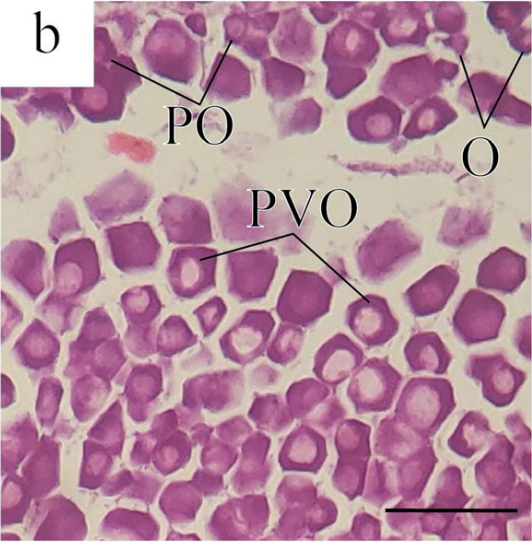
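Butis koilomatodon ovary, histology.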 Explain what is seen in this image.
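Many show a round, pale central nucleus, often with a darker rim of cytoplasm around it. Some oocytes are a paler lilac than others, and a few very small dark cells lie between the larger ones at the edge of the field. Thin strands of connective tissue and a small red patch lie in the pale spaces between groups of oocytes.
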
